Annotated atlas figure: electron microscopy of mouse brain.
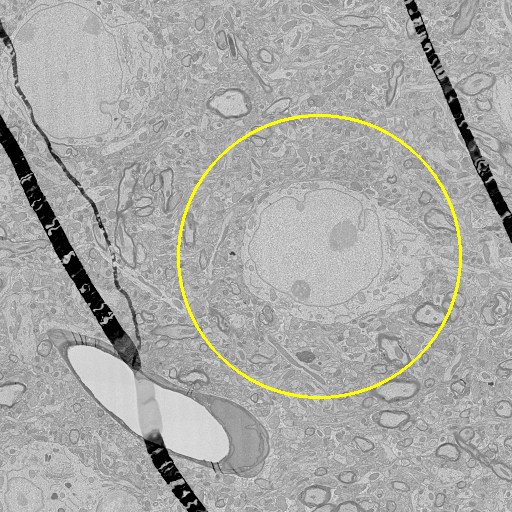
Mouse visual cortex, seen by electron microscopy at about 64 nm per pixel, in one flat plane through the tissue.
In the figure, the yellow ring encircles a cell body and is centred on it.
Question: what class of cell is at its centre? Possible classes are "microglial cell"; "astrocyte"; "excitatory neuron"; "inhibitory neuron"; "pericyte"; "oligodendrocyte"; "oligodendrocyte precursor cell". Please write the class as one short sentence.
The yellow ring is drawn around an excitatory neuron.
